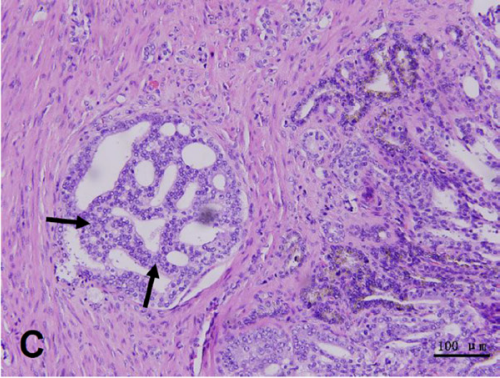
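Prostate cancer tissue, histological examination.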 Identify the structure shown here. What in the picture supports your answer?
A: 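A rounded gland is filled by epithelium pierced by multiple punched-out lumens. The gland sits within pink fibromuscular stroma.
Hence: cribriform.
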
